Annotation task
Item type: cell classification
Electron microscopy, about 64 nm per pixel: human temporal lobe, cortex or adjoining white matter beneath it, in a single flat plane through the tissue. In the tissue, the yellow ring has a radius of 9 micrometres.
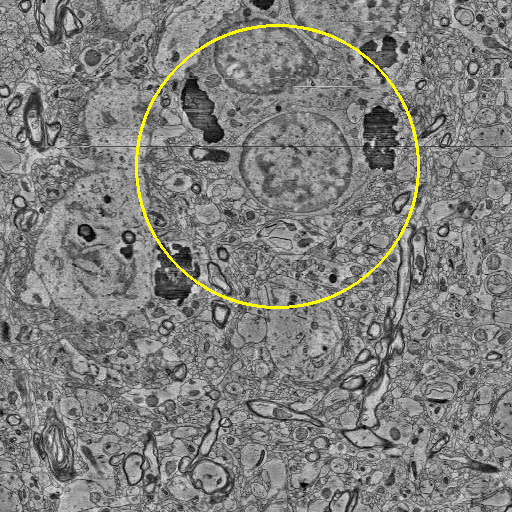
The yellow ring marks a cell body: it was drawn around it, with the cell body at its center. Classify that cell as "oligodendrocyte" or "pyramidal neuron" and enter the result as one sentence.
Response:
The ring's center falls on an oligodendrocyte.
